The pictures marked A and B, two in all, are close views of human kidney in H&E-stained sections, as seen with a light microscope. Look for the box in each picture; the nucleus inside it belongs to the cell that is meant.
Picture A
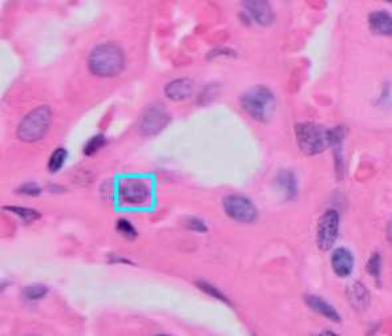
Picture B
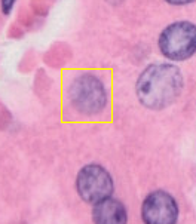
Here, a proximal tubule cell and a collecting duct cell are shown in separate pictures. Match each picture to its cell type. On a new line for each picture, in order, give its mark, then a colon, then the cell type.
A: collecting duct cell
B: proximal tubule cell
